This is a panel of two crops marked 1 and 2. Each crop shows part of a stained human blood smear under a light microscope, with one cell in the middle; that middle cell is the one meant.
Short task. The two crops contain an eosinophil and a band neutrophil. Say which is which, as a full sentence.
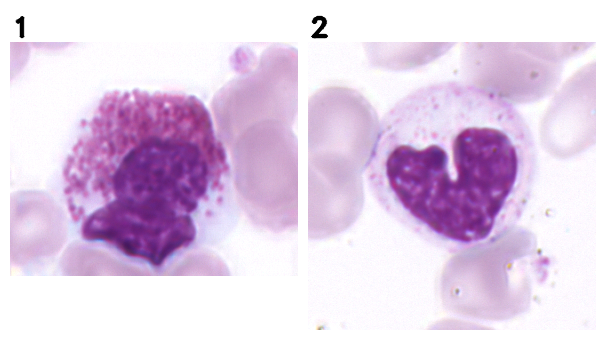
Crop 2 contains a band neutrophil, whereas crop 1 contains an eosinophil.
